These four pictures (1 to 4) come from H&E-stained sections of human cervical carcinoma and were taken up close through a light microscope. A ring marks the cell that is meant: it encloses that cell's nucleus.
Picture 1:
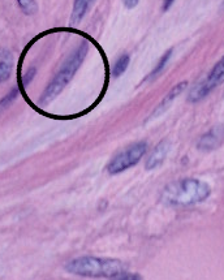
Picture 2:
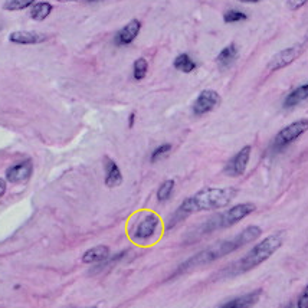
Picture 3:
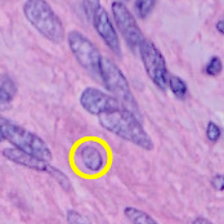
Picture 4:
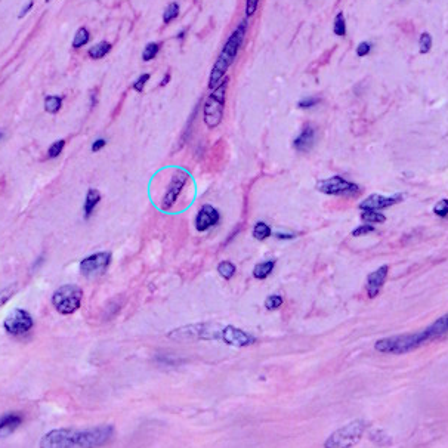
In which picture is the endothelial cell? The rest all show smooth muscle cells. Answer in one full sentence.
The picture with the endothelial cell is 4.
